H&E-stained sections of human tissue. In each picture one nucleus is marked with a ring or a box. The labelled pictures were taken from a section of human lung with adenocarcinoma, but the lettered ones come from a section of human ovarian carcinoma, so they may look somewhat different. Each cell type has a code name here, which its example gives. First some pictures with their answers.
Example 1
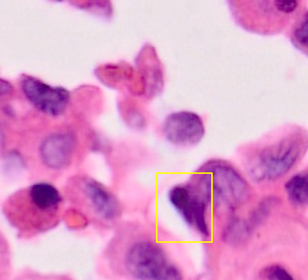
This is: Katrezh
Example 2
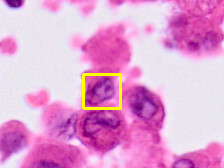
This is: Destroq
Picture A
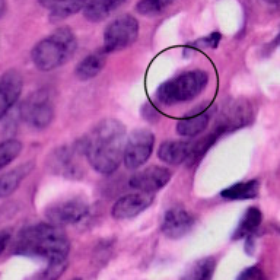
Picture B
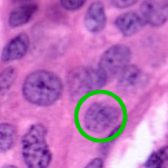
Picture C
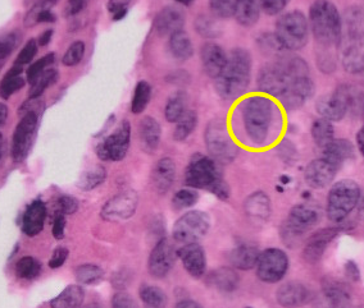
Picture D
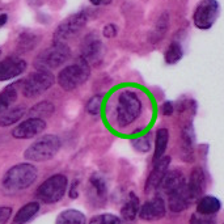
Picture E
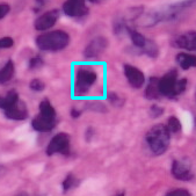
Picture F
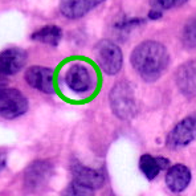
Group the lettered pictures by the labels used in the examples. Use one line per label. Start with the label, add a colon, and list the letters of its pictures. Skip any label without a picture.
Katrezh: A, B, C
Destroq: D, E, F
